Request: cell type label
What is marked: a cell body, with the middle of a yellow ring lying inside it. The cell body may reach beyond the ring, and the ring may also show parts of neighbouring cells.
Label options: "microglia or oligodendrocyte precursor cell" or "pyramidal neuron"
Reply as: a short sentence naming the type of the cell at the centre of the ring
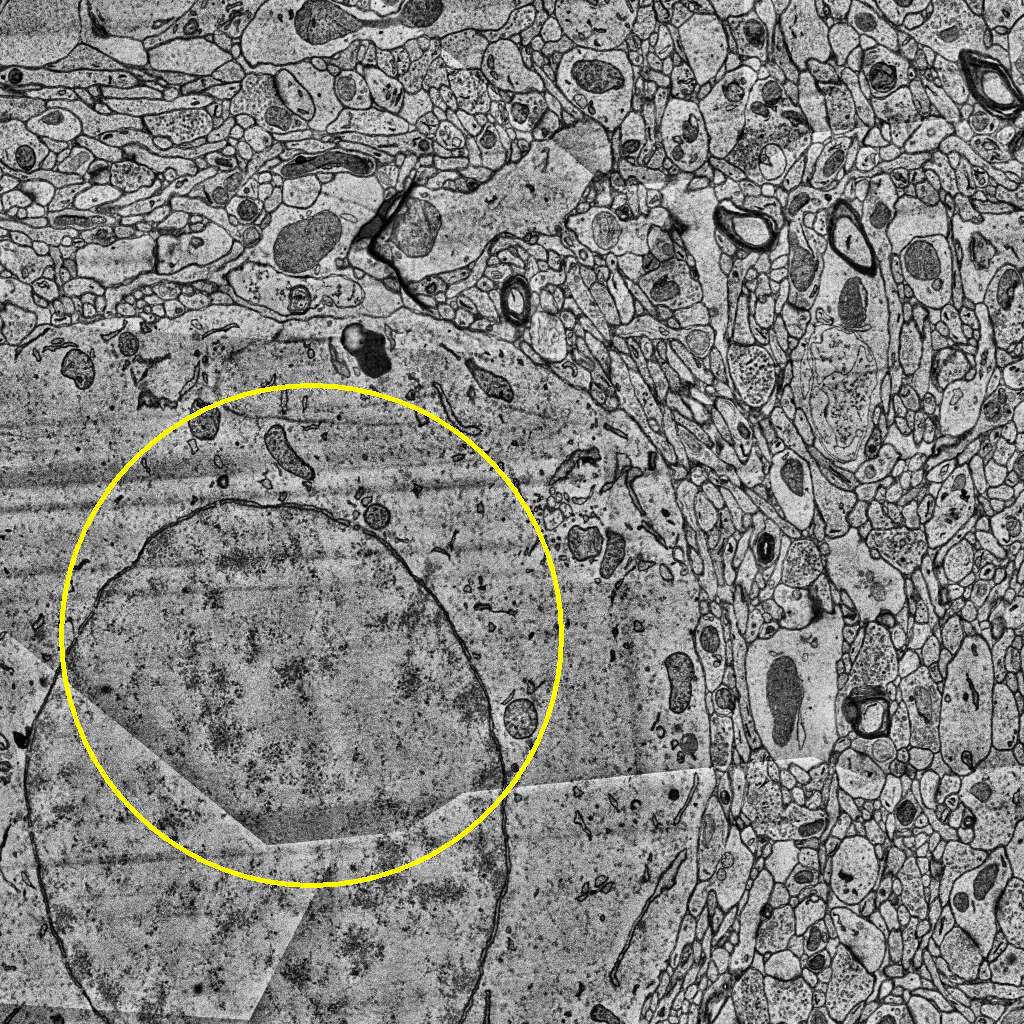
The marked cell body is that of a pyramidal neuron.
